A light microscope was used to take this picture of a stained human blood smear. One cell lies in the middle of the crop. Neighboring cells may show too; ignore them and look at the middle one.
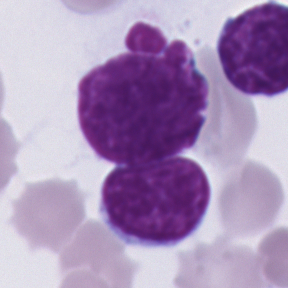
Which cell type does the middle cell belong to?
myeloblast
